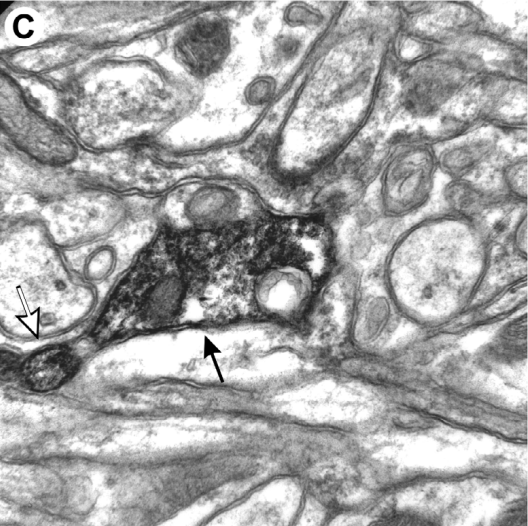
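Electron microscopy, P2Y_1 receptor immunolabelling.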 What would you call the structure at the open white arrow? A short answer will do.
Intervaricose segment.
